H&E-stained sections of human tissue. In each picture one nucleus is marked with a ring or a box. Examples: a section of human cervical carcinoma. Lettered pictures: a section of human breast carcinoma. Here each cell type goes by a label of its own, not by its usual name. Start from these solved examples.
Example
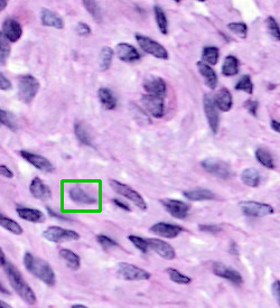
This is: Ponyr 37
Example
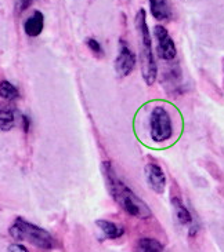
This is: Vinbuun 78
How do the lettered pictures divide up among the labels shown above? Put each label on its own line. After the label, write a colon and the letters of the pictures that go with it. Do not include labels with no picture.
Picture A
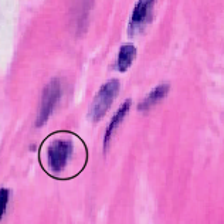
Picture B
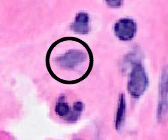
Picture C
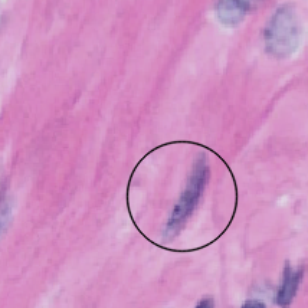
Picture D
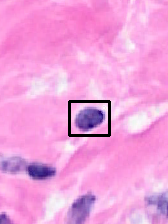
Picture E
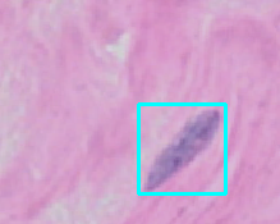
Ponyr 37: C, E
Vinbuun 78: A, B, D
